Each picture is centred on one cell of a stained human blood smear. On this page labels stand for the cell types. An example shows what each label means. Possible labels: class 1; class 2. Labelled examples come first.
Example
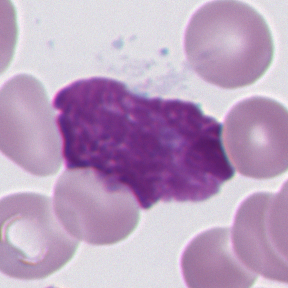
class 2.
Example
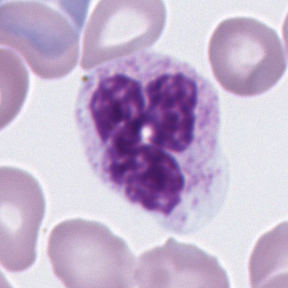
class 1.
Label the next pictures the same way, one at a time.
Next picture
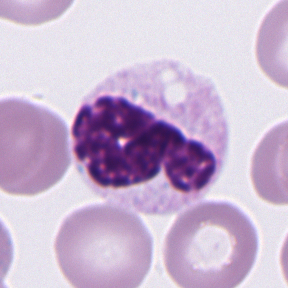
class 1.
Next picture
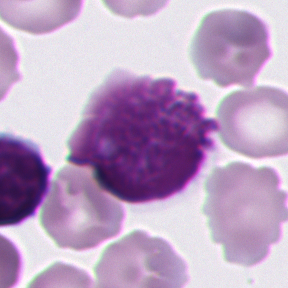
class 2.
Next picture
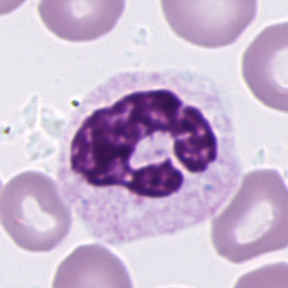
class 1.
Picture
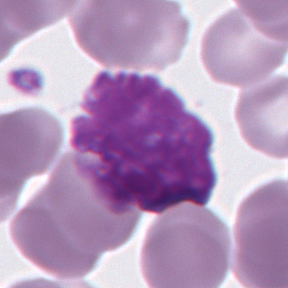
class 2.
